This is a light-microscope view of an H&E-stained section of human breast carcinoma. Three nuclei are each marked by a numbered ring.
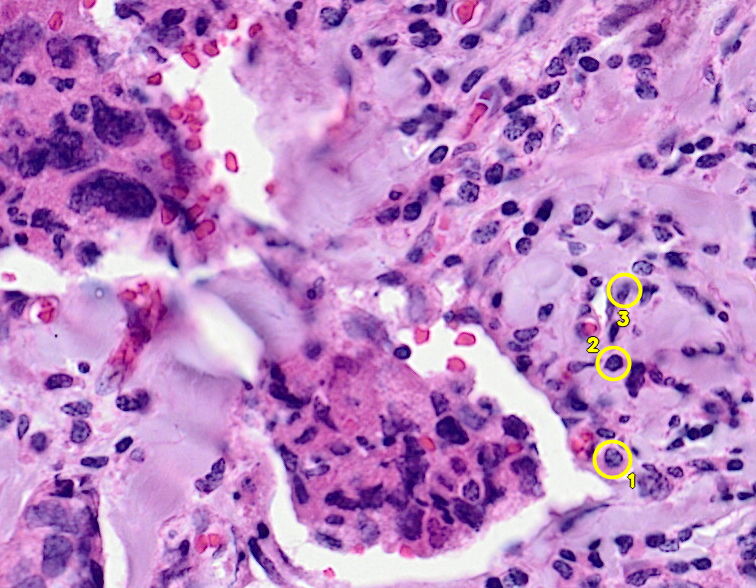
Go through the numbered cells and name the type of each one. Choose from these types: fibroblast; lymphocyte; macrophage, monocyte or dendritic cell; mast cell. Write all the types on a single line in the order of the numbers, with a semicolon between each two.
mast cell; lymphocyte; lymphocyte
